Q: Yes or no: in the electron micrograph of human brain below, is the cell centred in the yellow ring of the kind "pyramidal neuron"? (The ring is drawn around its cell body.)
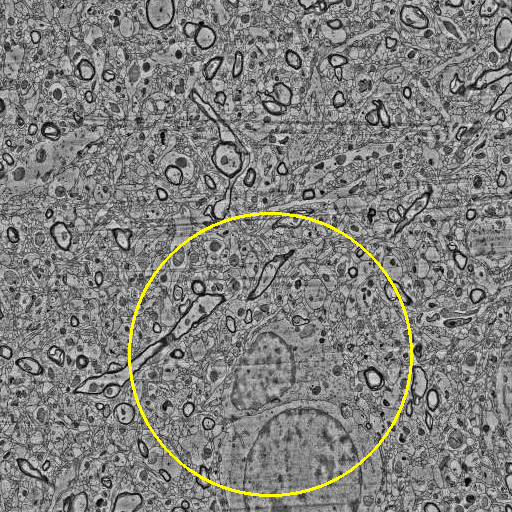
no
